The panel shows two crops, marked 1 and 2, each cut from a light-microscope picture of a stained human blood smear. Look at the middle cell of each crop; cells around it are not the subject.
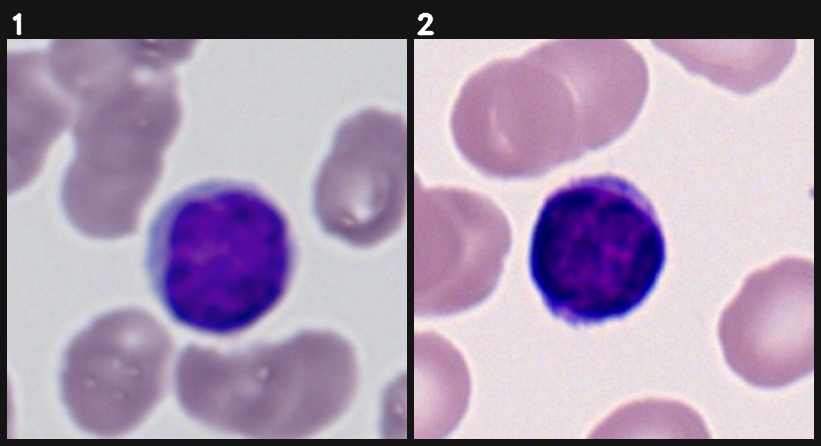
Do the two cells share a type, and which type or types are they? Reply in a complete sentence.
Yes, lymphocytes lie at the centre of both crops.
